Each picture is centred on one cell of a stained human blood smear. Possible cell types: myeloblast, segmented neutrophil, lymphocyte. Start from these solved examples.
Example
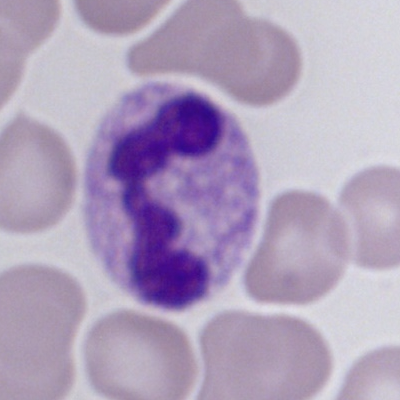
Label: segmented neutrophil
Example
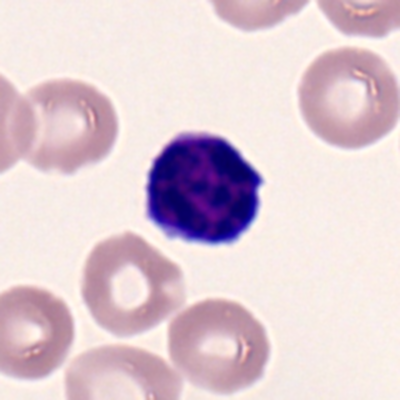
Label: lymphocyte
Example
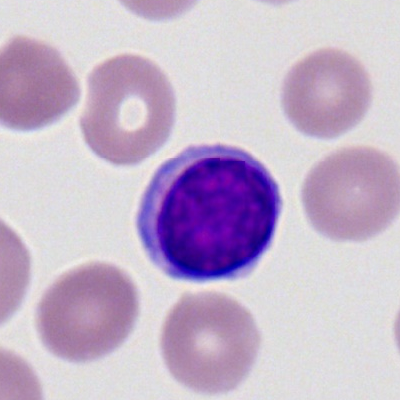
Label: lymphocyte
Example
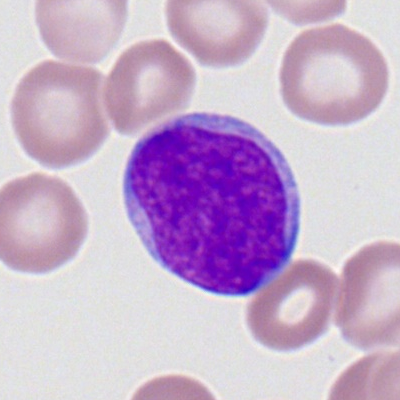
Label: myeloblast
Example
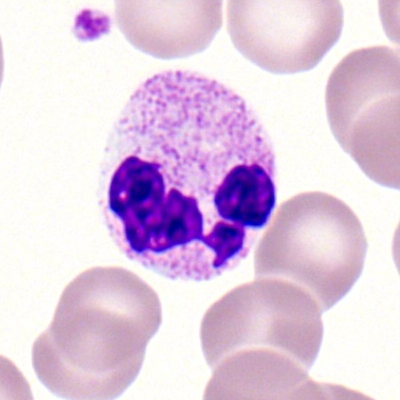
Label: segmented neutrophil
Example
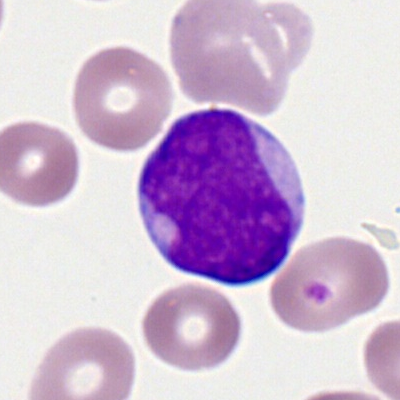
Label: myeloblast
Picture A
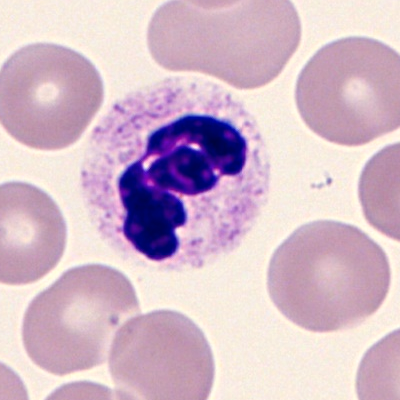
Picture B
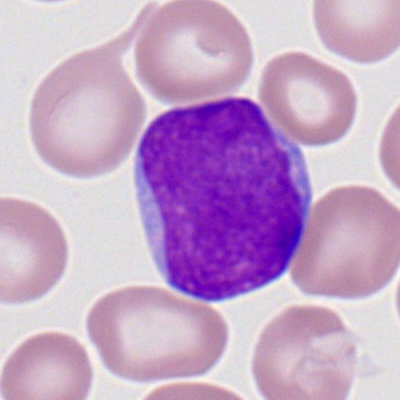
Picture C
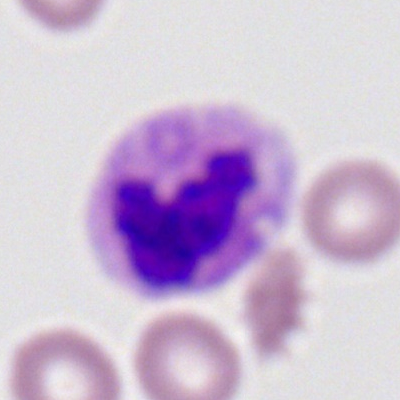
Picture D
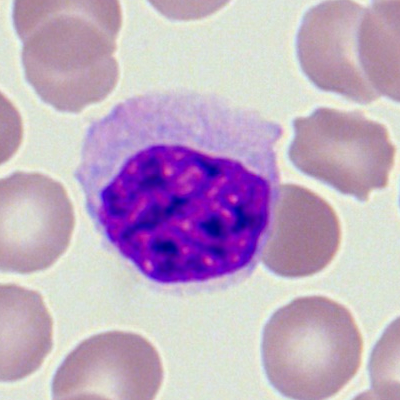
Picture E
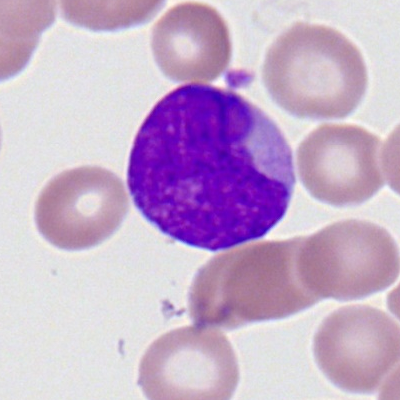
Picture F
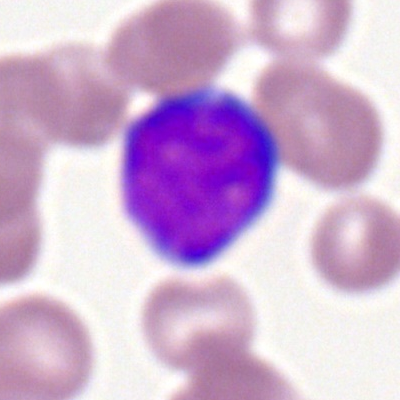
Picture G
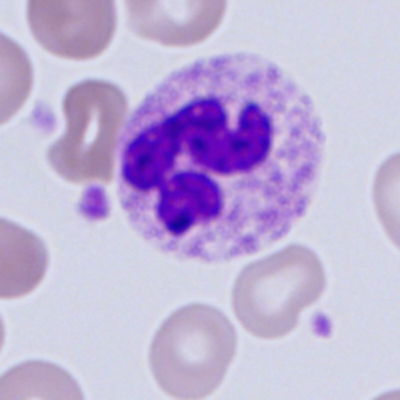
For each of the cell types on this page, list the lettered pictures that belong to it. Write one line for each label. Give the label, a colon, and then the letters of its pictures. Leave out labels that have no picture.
myeloblast: B, E, F
segmented neutrophil: A, C, G
lymphocyte: D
